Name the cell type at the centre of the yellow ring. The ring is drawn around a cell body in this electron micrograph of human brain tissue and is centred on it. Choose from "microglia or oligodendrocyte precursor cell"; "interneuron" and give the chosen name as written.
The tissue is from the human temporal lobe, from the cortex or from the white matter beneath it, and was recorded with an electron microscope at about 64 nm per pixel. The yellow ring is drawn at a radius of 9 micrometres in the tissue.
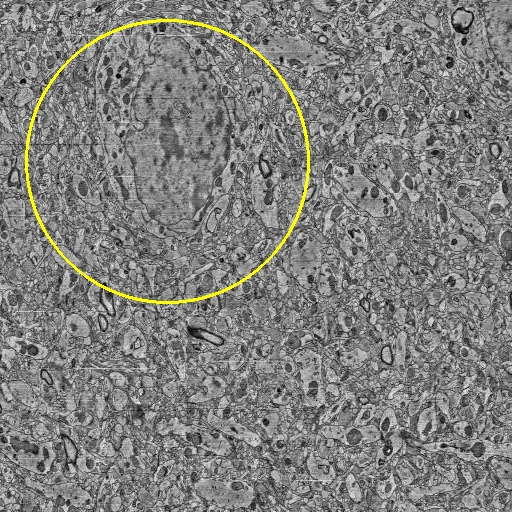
interneuron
